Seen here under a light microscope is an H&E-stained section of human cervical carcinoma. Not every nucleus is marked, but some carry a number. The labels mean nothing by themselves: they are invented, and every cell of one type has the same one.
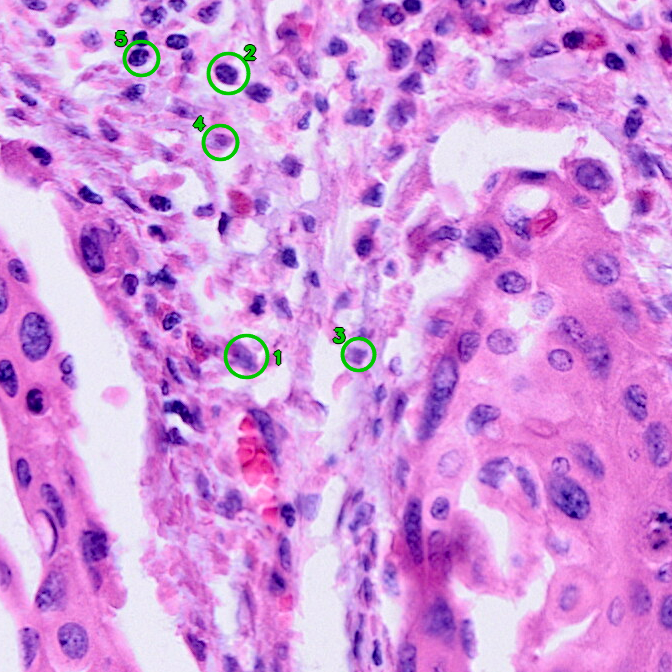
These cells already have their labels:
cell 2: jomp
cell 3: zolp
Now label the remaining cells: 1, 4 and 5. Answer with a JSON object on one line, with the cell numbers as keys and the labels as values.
{"1": "zolp", "4": "zolp", "5": "jomp"}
